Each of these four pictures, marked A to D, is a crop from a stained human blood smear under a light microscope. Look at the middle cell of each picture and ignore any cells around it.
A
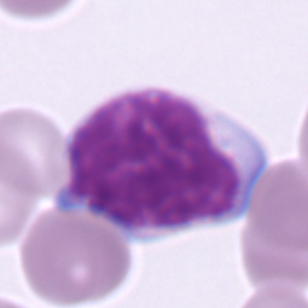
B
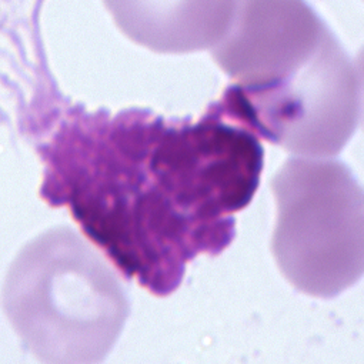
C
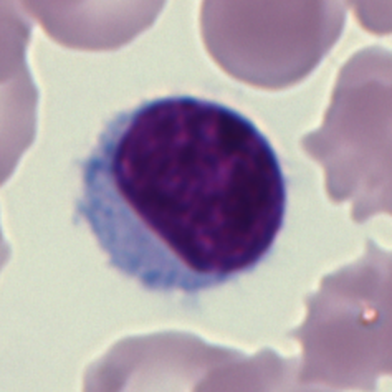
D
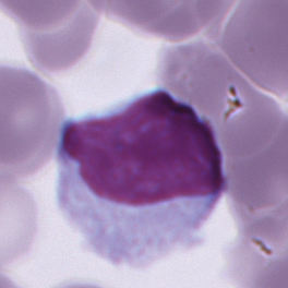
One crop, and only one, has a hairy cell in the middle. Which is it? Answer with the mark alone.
C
